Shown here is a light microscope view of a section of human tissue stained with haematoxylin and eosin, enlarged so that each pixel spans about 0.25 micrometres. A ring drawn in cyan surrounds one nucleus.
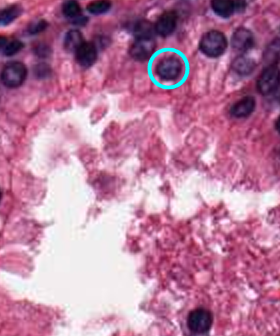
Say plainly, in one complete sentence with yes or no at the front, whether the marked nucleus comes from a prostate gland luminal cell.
Yes, the marked nucleus is contained in a prostate gland luminal cell.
